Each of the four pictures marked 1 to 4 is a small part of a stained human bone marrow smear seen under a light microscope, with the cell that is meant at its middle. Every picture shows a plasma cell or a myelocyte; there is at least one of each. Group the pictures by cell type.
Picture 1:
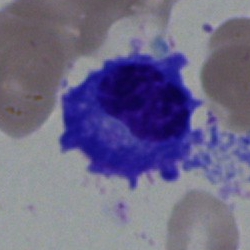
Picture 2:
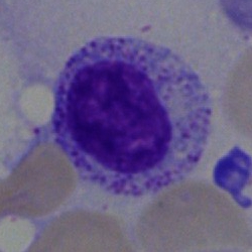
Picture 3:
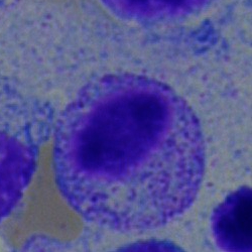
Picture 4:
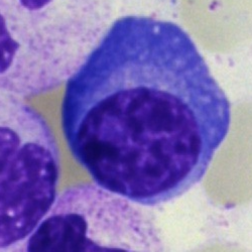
1: plasma cell
2: myelocyte
3: myelocyte
4: plasma cell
